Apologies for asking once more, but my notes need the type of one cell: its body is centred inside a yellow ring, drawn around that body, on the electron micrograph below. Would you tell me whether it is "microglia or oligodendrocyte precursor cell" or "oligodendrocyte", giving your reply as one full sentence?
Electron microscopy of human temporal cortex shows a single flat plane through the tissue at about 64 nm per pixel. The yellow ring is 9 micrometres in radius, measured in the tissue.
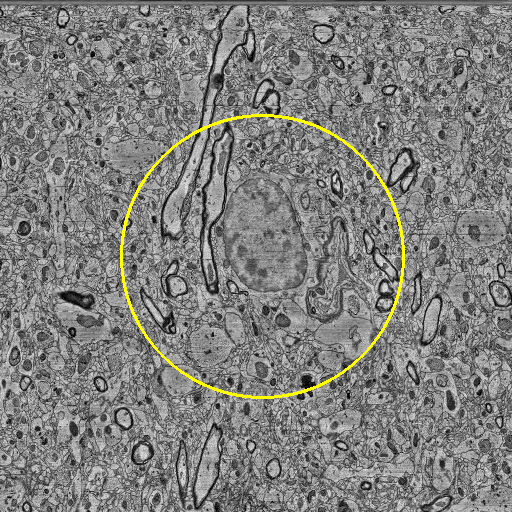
The cell that the yellow ring is centred on is an oligodendrocyte in this micrograph.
